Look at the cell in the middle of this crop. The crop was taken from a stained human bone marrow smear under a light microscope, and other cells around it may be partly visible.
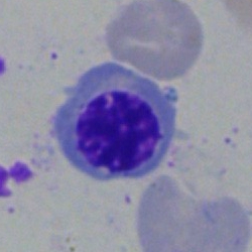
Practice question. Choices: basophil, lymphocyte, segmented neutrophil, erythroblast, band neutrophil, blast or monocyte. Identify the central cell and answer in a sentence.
Whatever else lies nearby, the middle cell is an erythroblast.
